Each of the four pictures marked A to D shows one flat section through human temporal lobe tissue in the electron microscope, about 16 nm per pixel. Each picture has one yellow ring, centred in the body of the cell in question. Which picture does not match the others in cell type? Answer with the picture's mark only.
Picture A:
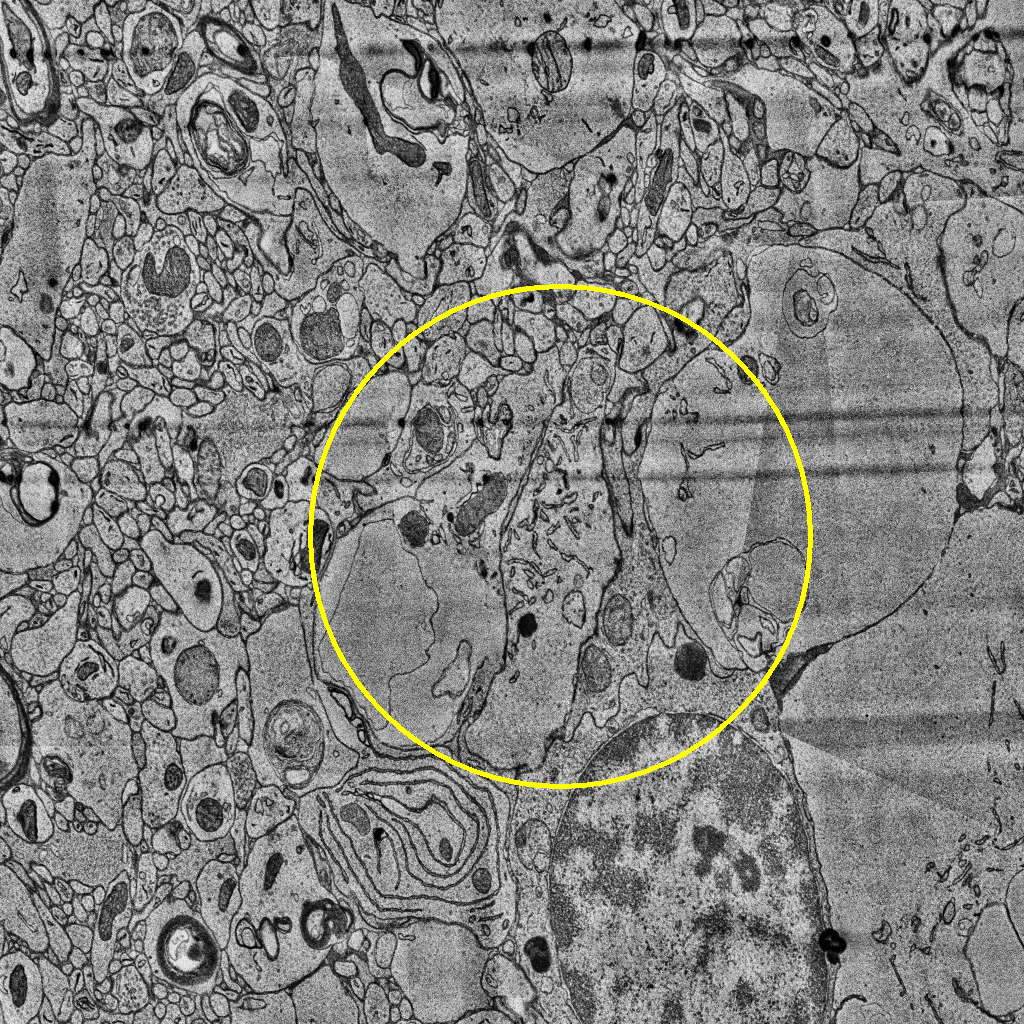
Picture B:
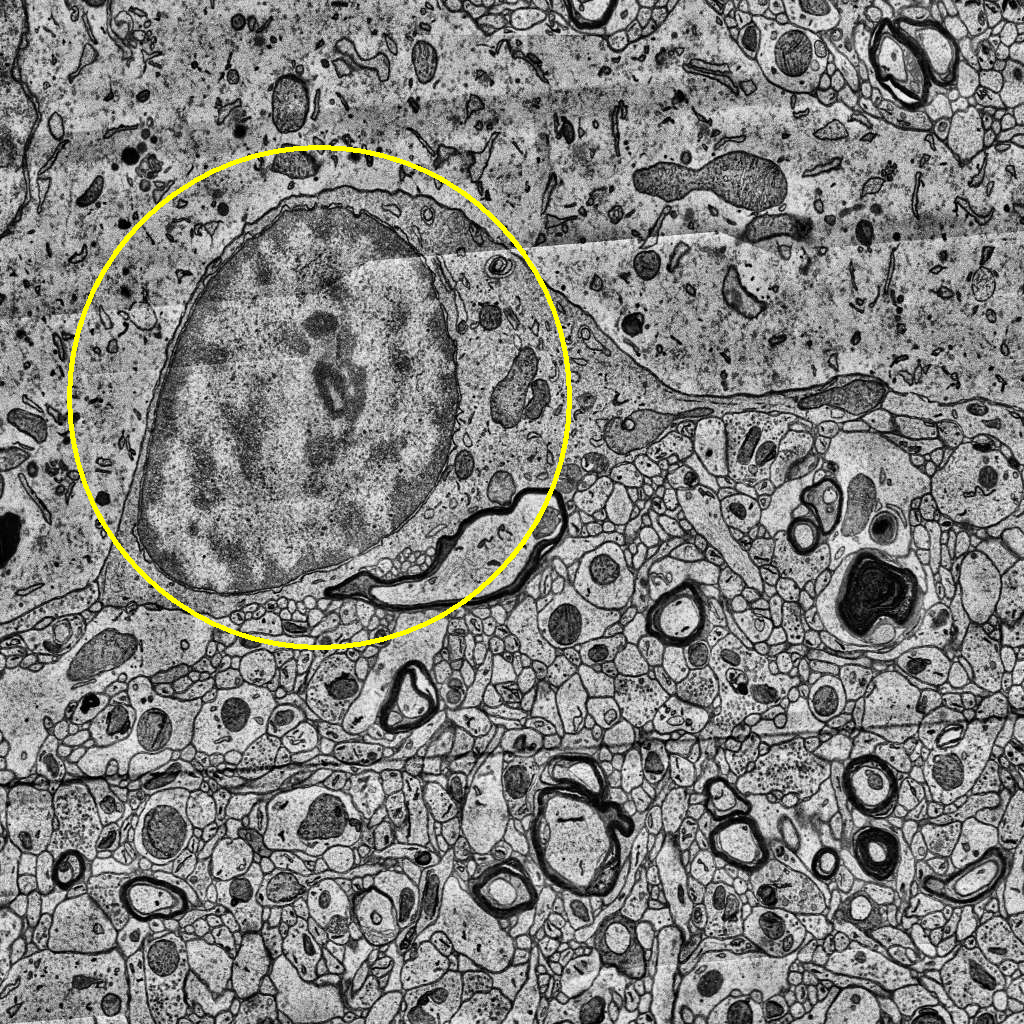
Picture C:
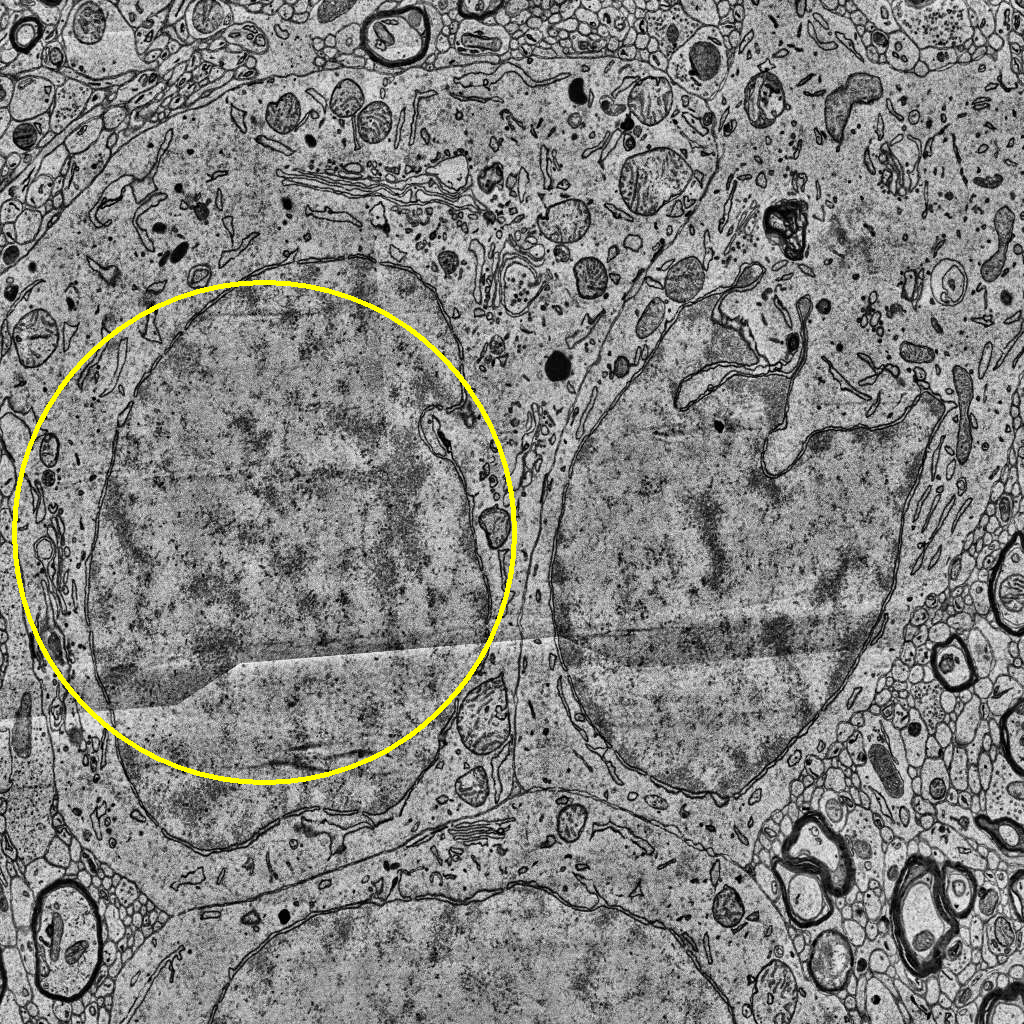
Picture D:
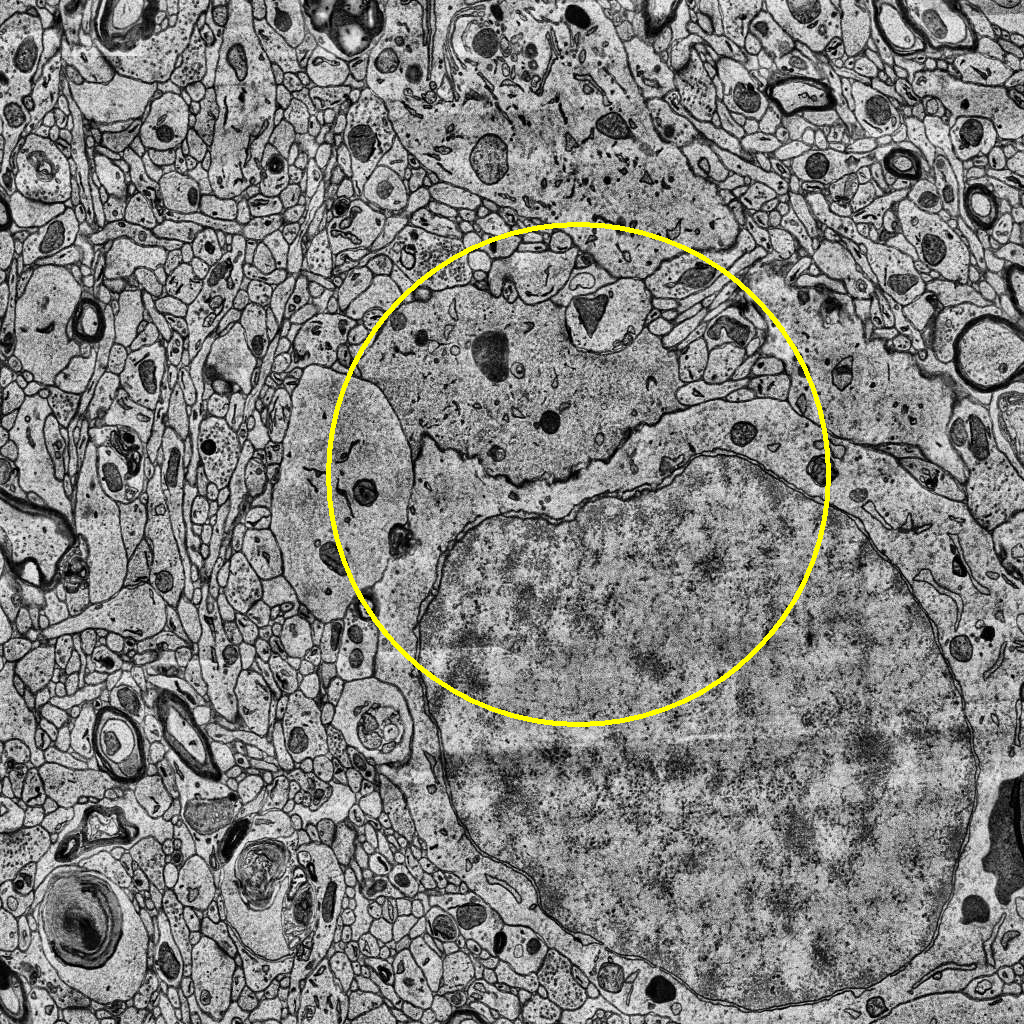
C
